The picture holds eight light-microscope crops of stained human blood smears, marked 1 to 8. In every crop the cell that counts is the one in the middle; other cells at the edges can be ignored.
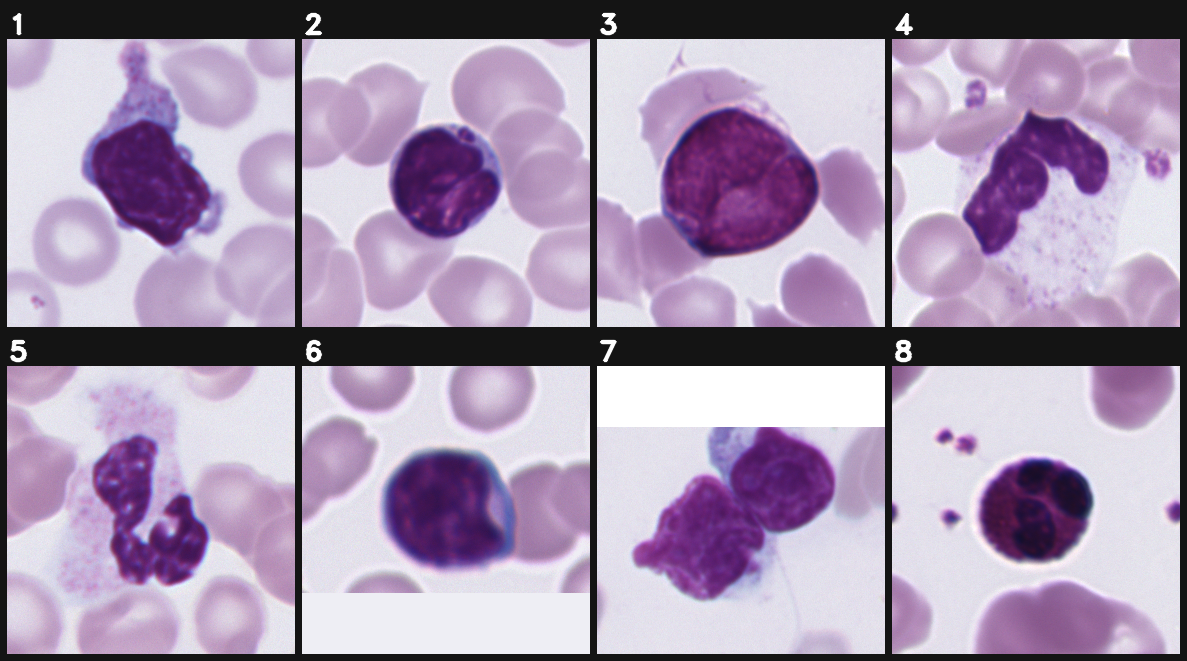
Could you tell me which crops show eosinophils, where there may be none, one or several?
8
